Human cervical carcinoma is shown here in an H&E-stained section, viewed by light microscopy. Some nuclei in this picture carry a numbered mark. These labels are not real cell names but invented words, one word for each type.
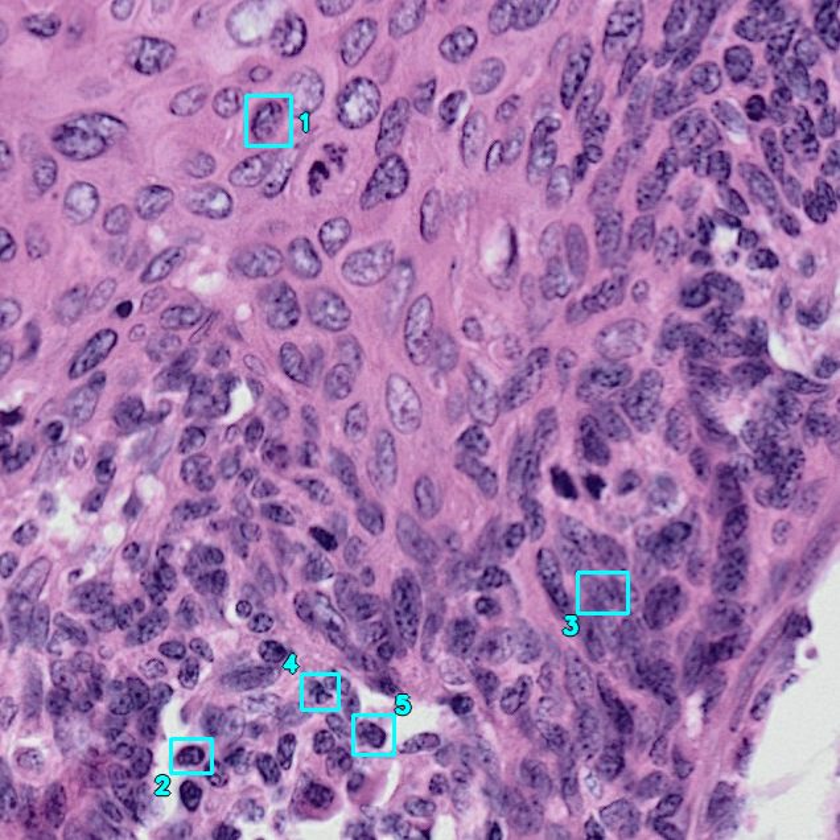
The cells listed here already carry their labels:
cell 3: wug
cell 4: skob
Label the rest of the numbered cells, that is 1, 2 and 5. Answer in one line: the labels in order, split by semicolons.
wug; skob; skob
